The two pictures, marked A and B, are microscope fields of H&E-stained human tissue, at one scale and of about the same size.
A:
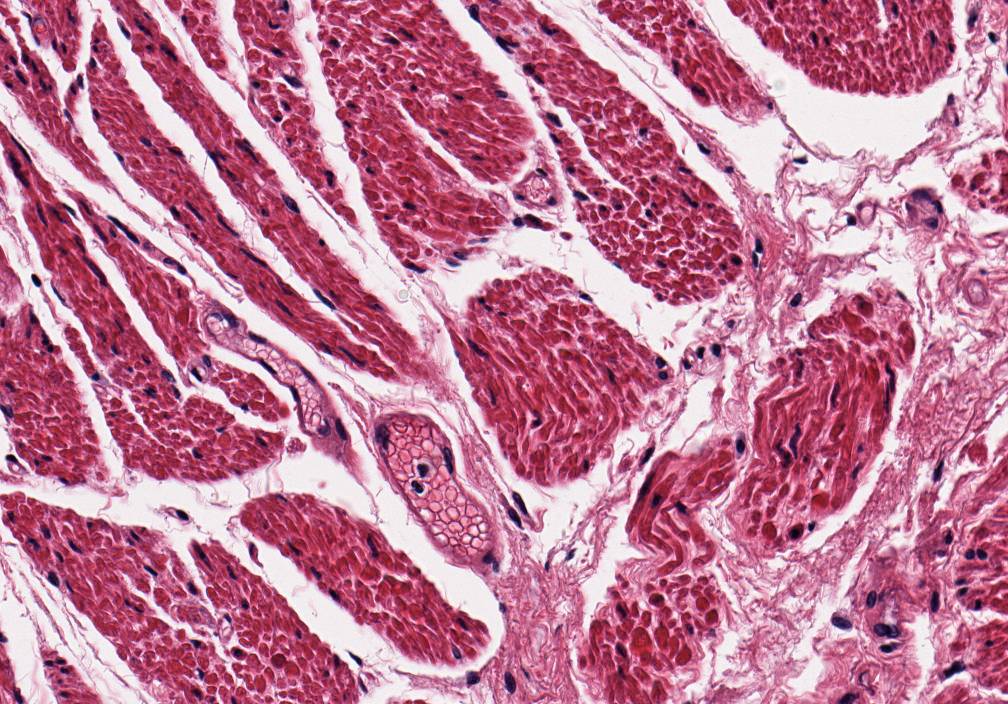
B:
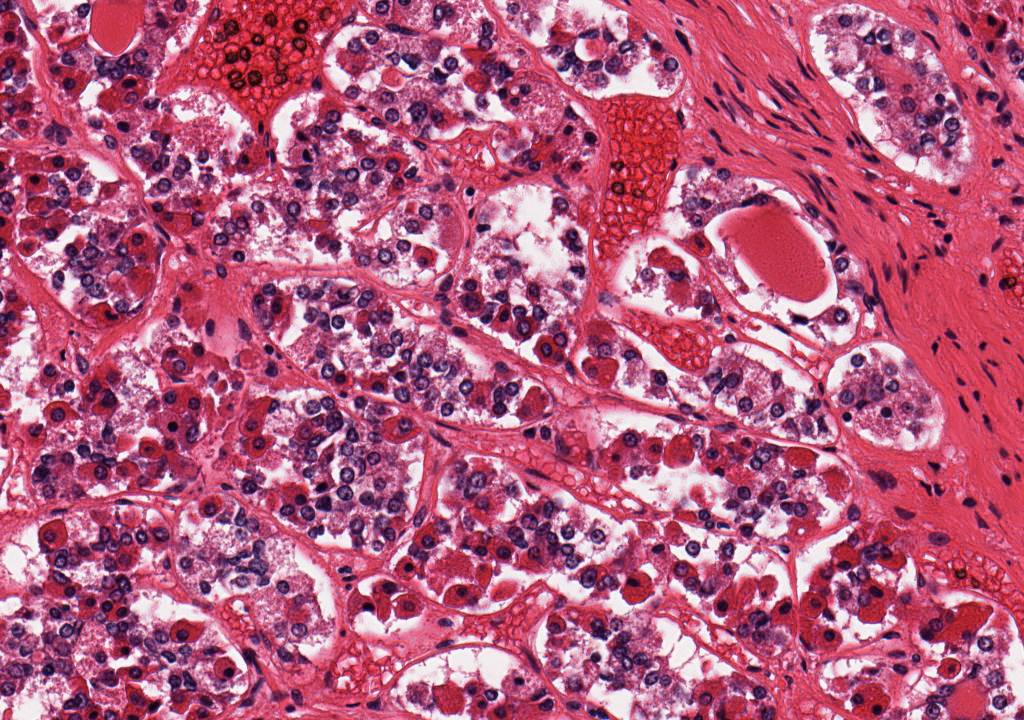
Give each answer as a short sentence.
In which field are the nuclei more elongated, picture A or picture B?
The nuclei are more elongated in picture A.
